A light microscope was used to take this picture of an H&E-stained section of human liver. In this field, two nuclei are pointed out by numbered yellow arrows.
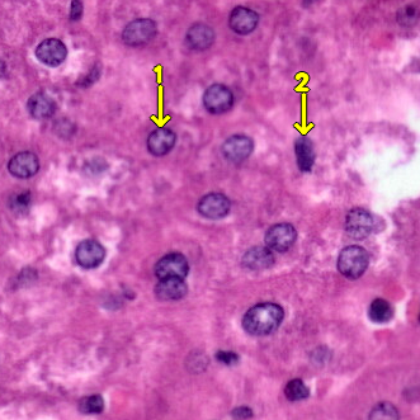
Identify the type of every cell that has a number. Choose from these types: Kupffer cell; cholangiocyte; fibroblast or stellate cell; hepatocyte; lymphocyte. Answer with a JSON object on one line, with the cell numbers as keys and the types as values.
{"1": "hepatocyte", "2": "fibroblast or stellate cell"}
